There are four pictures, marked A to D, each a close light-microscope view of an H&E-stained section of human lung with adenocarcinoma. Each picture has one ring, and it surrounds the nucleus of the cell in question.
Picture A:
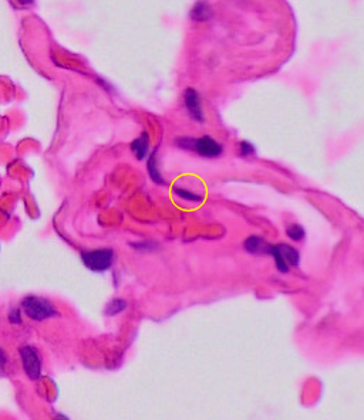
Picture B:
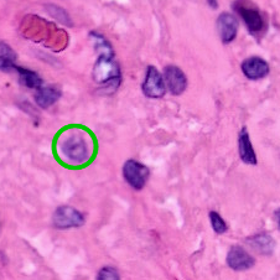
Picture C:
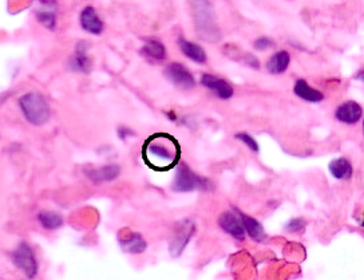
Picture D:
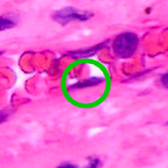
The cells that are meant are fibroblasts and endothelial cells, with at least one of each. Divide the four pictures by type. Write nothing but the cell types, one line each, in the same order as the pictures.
endothelial cell
fibroblast
endothelial cell
endothelial cell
